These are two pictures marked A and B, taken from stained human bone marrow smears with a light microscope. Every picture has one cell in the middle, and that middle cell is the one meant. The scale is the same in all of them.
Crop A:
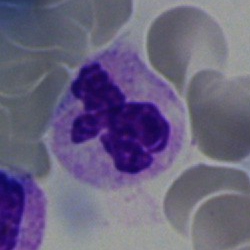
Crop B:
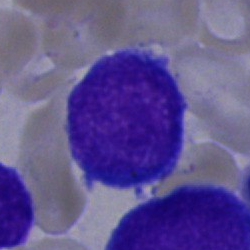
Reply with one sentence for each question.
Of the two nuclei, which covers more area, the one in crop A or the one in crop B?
The nucleus in crop B is larger, with about 2 times the area of the one in crop A.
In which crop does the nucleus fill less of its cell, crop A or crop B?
In crop A the nucleus takes up the smaller part of its cell.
